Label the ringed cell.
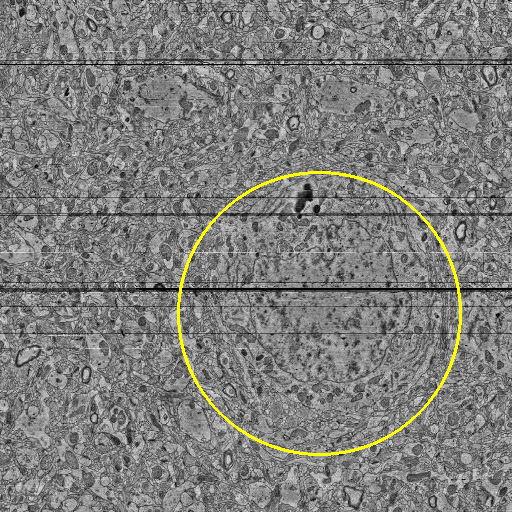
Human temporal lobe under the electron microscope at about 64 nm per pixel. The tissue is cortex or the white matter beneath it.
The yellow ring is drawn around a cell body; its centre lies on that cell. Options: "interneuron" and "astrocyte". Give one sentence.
The ringed cell is an interneuron.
